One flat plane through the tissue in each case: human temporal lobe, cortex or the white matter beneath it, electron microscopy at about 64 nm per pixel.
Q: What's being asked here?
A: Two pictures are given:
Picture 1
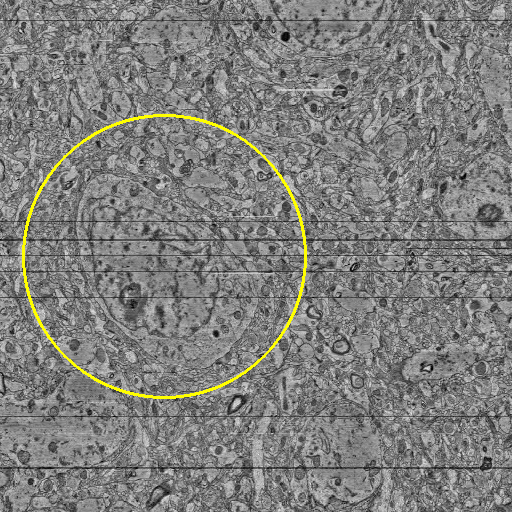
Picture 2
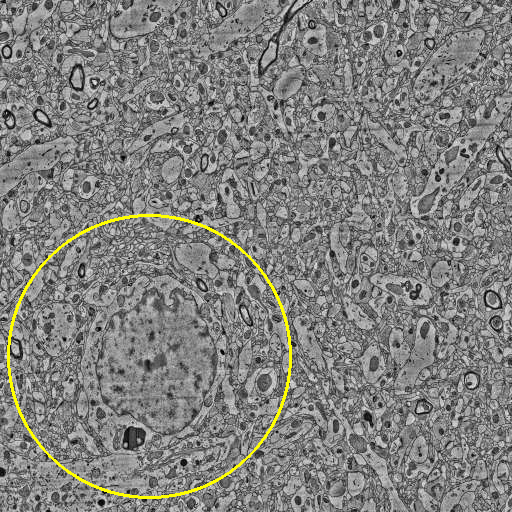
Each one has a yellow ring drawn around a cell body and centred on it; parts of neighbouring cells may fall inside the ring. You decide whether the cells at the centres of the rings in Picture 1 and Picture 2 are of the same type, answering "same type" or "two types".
same type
